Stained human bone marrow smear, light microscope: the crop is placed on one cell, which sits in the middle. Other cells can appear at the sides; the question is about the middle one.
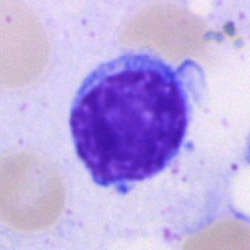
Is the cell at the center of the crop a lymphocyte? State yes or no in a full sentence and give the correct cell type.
Yes, the cell that the crop is centred on is a lymphocyte.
